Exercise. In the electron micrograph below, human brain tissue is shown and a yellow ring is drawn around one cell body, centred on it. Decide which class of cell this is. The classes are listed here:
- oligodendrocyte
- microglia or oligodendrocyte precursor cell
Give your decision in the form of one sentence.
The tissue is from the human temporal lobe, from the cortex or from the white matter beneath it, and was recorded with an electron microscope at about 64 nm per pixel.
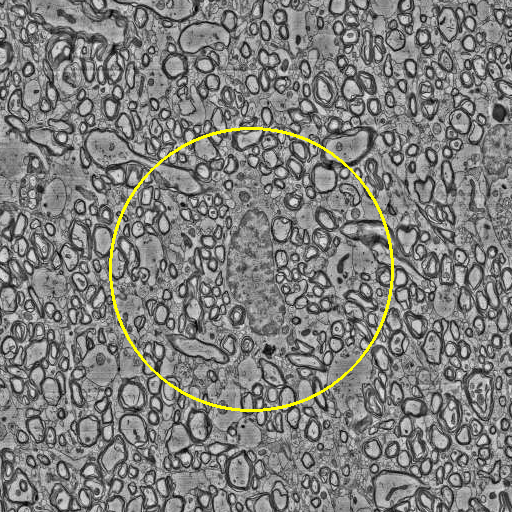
The cell body marked by the ring belongs to an oligodendrocyte.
